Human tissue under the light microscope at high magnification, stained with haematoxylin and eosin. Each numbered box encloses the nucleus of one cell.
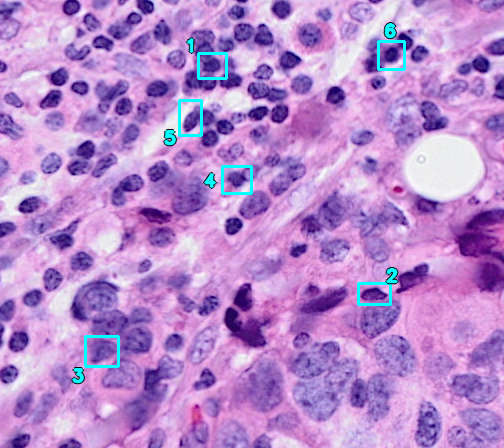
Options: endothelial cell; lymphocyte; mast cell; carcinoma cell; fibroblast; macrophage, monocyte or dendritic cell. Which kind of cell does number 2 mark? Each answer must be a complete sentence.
Belonging to a carcinoma cell is the nucleus that carries the number 2.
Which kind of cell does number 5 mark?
The cell tagged with 5 in this tissue section is a lymphocyte.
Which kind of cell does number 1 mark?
Identified as a lymphocyte is the cell bearing the number 1.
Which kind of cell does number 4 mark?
The correct answer for cell 4 is a lymphocyte.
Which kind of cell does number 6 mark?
Cell 6 is classified as a lymphocyte.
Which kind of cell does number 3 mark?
The numbered cell 3 is identified here as a carcinoma cell.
